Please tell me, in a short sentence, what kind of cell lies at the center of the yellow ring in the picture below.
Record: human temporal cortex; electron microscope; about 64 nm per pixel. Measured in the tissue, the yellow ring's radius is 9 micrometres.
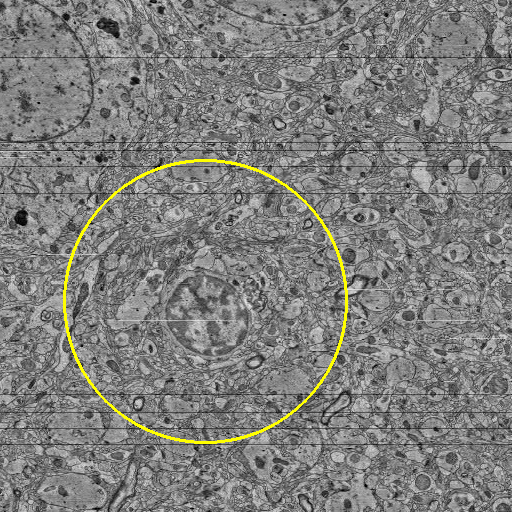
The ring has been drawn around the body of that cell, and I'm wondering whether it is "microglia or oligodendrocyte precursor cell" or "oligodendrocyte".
The cell at the center of the ring is an oligodendrocyte.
